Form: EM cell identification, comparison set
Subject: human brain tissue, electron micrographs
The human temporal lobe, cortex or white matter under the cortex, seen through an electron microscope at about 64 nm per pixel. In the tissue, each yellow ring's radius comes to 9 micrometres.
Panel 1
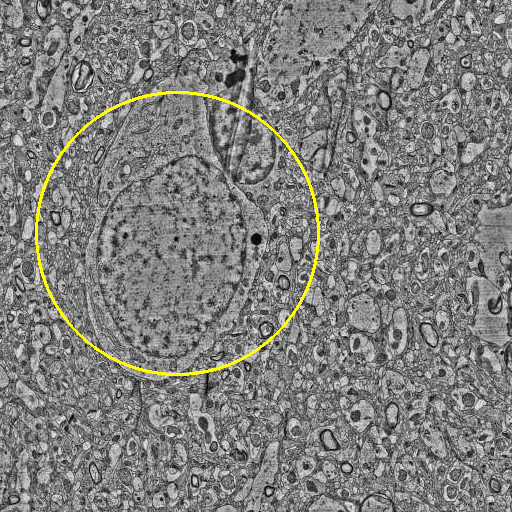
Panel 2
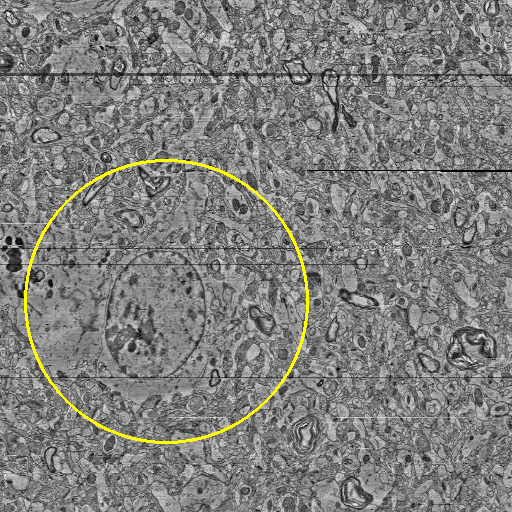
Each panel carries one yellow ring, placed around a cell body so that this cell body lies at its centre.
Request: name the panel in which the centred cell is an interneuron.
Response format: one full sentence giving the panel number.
Panel 1 has it at the centre of its ring.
